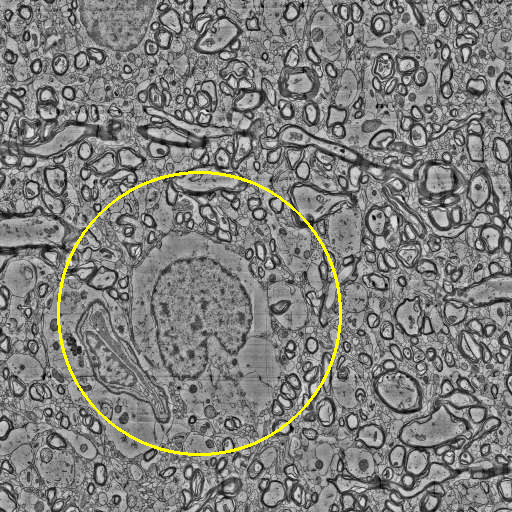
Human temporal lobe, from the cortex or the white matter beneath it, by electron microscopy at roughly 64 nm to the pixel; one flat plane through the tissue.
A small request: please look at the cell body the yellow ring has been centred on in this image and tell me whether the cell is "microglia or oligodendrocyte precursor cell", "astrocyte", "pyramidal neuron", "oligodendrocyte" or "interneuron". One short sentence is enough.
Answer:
The cell marked by the ring is an astrocyte.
